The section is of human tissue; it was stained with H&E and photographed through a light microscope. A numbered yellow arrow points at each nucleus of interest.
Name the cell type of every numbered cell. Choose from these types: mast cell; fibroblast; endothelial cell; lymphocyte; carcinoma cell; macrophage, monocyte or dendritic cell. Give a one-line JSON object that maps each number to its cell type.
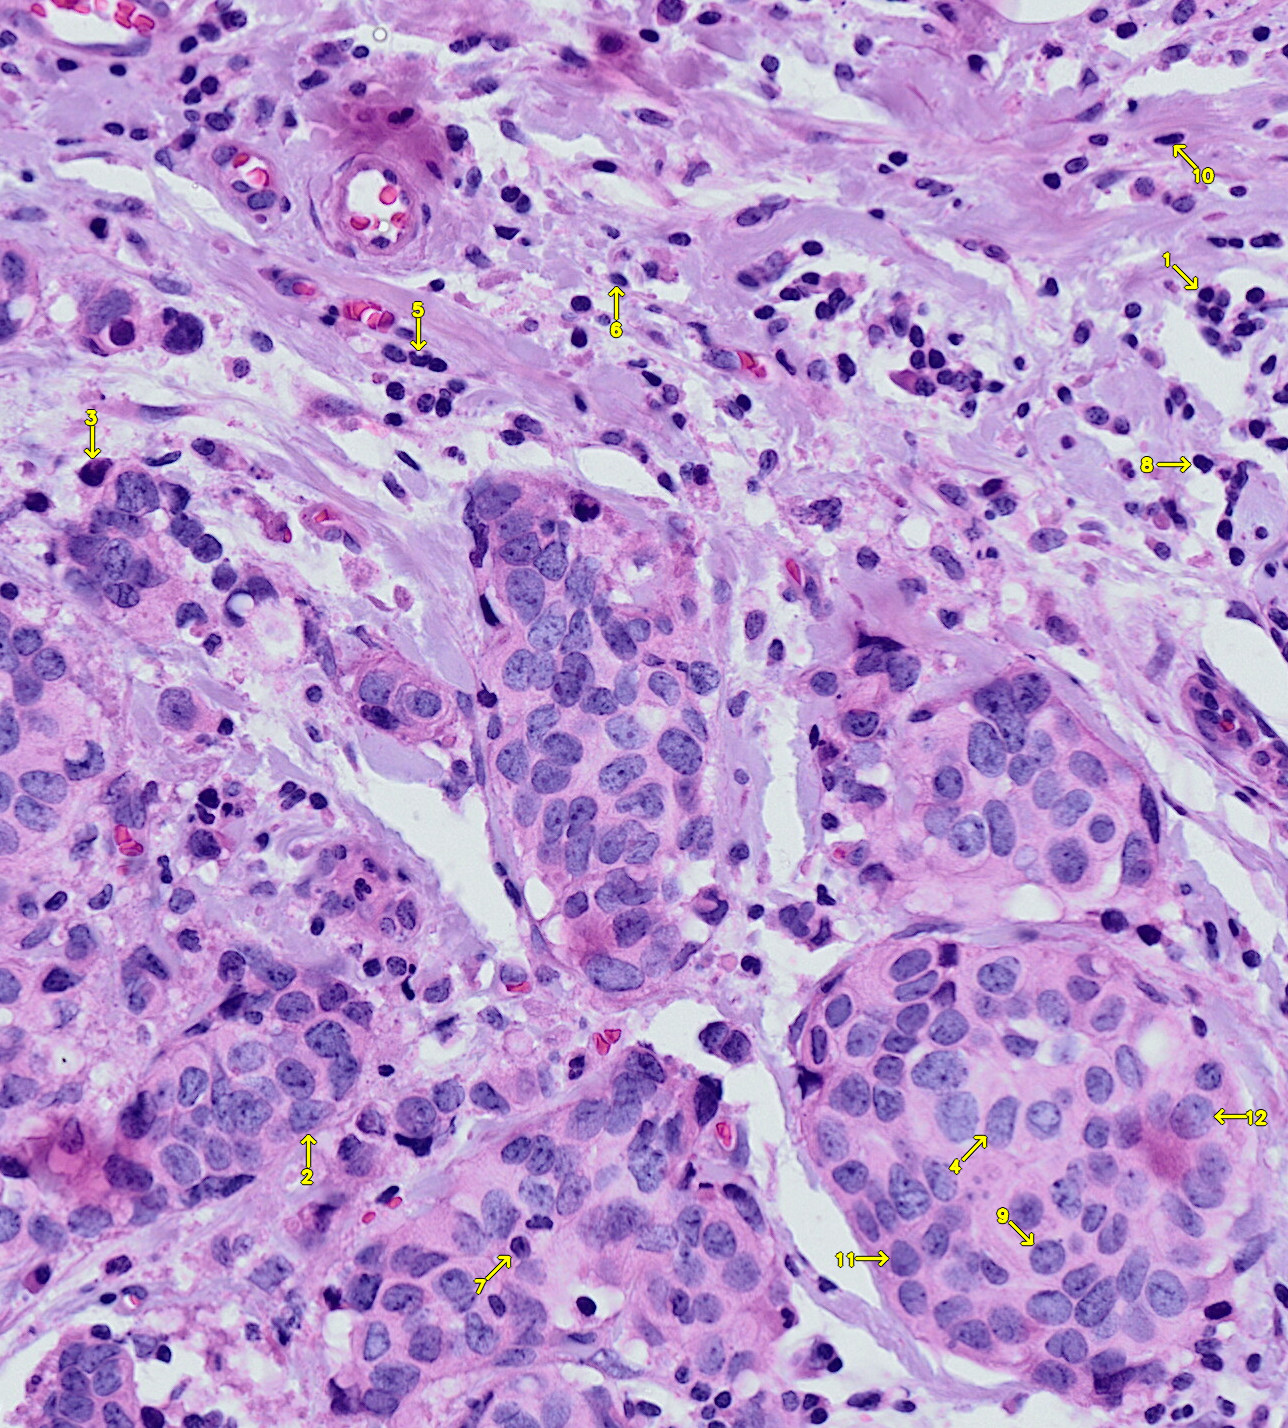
{"1": "lymphocyte", "2": "carcinoma cell", "3": "carcinoma cell", "4": "carcinoma cell", "5": "lymphocyte", "6": "lymphocyte", "7": "lymphocyte", "8": "lymphocyte", "9": "carcinoma cell", "10": "lymphocyte", "11": "carcinoma cell", "12": "carcinoma cell"}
